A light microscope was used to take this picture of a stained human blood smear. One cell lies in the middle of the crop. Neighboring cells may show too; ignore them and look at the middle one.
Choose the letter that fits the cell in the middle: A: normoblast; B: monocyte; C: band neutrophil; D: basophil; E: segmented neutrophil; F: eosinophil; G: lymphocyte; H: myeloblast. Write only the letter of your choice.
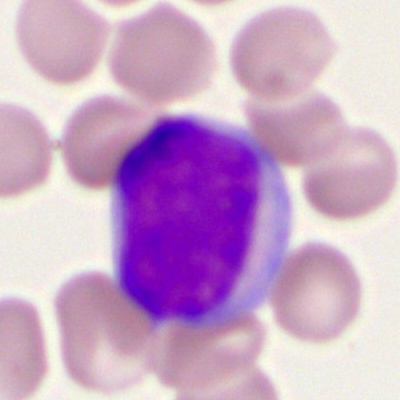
H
